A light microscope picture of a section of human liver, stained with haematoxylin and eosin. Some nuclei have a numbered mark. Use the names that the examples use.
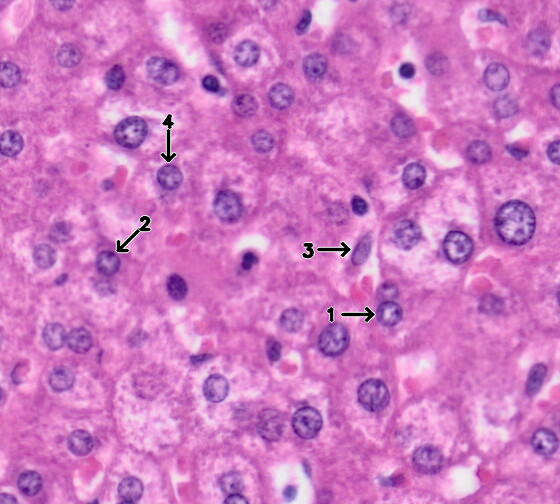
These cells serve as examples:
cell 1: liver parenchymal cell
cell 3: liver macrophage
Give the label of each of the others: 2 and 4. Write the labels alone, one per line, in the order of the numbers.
liver parenchymal cell
liver parenchymal cell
